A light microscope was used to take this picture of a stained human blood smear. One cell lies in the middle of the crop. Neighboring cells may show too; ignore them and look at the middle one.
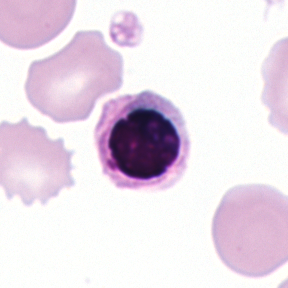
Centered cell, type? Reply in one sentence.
As for the cell in the middle, it is a normoblast.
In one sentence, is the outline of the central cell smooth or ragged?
In outline, the cell is irregular, ragged in stretches or drawn into projections.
